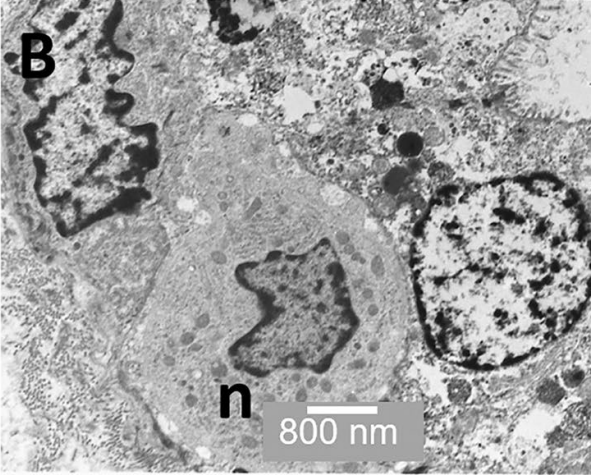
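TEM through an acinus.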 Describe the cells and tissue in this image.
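Two kinds of epithelial cell lie side by side here. One cell has a round nucleus with chromatin clumped at its edge and cytoplasm crowded with vesicles and dense granules, reaching a free surface with small projections at the upper right. Beside and below it lies a cell with pale, even cytoplasm scattered with many small round dense granules and an irregular, deeply indented nucleus. The vesicle-rich cell is a merocrine secretory cell, while the pale granular cell set deeper in the epithelium is a neuroendocrine cell.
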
